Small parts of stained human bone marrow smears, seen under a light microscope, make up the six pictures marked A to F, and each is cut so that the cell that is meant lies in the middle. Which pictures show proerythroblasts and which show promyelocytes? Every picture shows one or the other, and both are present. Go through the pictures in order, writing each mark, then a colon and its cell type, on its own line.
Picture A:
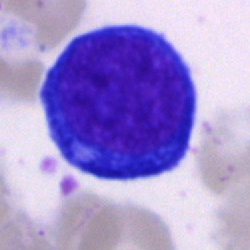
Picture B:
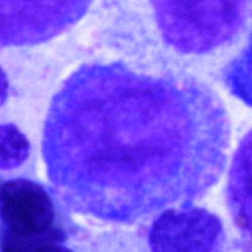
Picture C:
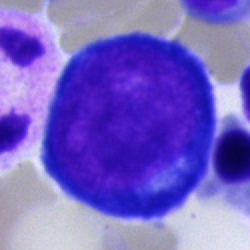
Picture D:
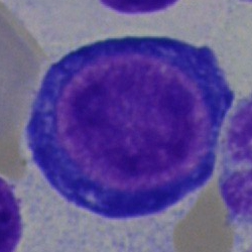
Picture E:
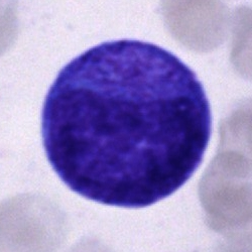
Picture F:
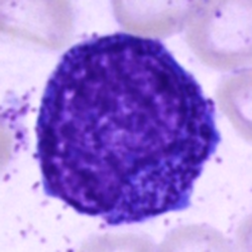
A: proerythroblast
B: promyelocyte
C: proerythroblast
D: proerythroblast
E: promyelocyte
F: promyelocyte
